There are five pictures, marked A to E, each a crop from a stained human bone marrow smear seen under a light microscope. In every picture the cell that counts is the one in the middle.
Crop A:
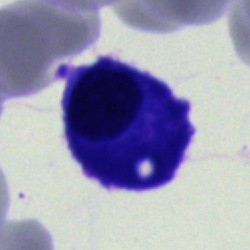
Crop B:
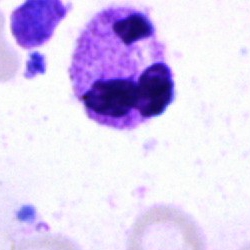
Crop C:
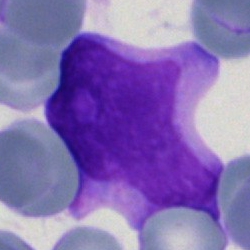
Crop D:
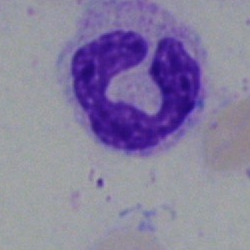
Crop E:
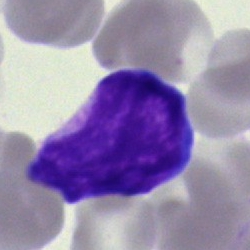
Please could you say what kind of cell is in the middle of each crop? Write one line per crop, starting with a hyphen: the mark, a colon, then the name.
- A: plasma cell
- B: segmented neutrophil
- C: blast
- D: band neutrophil
- E: blast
